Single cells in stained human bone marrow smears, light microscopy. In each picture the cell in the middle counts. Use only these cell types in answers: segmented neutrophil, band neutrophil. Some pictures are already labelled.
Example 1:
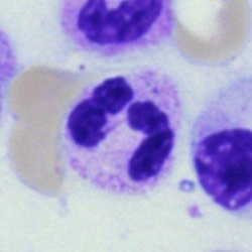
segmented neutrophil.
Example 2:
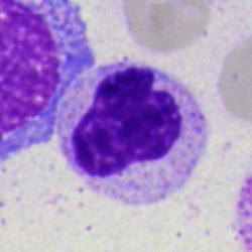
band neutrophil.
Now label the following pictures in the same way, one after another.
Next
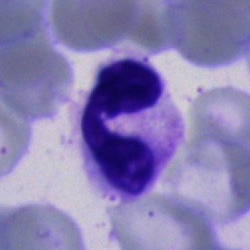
segmented neutrophil.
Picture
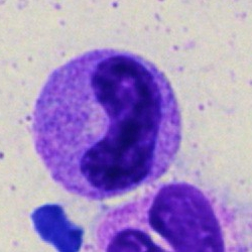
band neutrophil.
